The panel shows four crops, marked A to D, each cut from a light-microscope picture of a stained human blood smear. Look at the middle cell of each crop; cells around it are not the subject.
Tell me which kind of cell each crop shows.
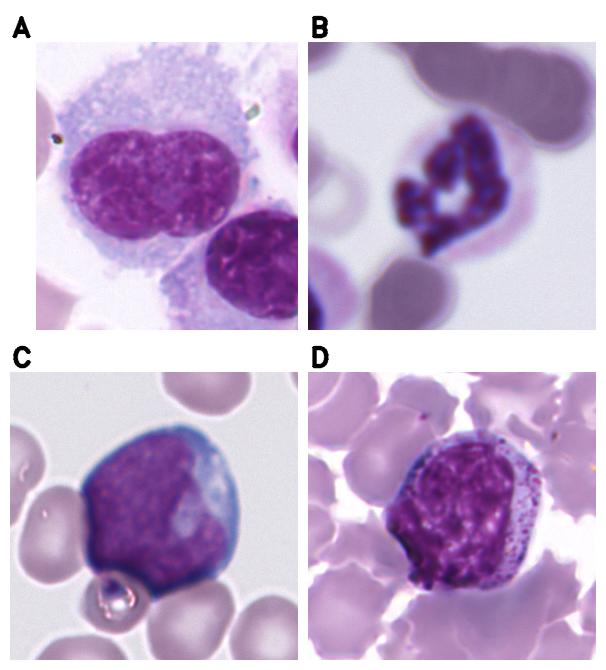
A: plasma cell
B: segmented neutrophil
C: myeloblast
D: myelocyte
